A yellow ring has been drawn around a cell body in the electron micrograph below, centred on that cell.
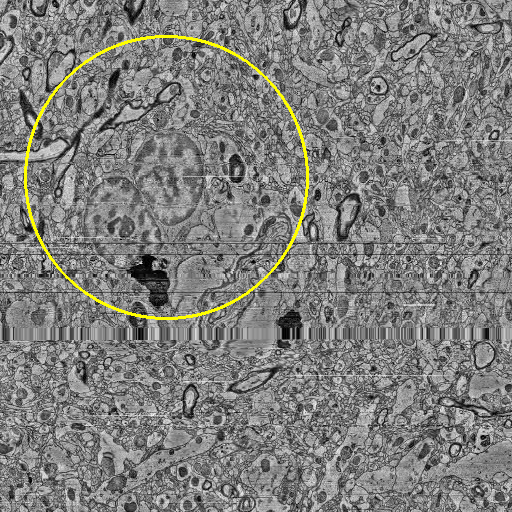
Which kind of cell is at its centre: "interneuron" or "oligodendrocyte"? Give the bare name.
oligodendrocyte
